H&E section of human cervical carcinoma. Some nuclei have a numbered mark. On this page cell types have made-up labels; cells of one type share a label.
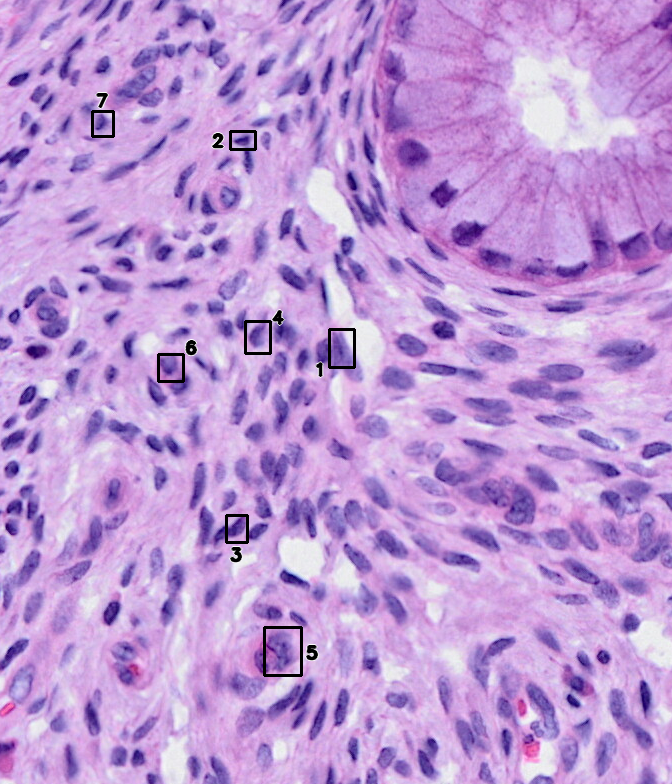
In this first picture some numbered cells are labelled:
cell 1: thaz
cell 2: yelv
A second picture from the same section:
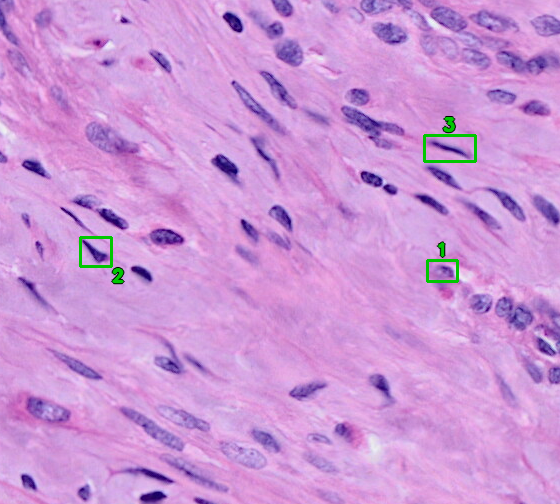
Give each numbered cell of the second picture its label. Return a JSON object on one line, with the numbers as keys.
{"1": "thaz", "2": "yelv", "3": "yelv"}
